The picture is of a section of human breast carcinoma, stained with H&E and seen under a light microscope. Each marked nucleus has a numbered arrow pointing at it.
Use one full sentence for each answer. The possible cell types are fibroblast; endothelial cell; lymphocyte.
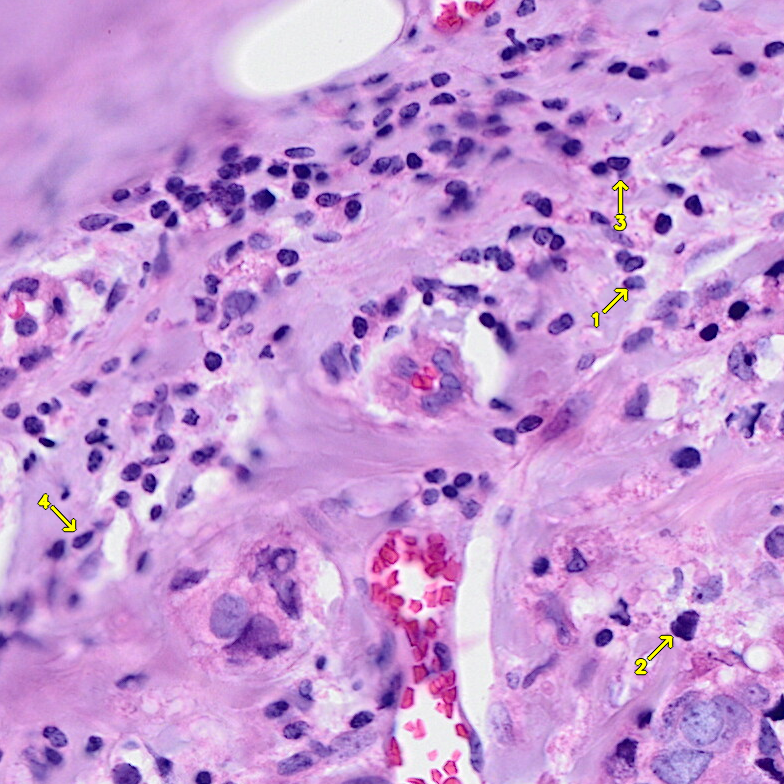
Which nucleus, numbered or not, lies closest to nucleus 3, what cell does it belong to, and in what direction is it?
Lying to the left of nucleus 3, the nearest nucleus is that of a lymphocyte.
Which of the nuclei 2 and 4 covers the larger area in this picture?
The larger nucleus is 2, at roughly 2.5 times the area of 4.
